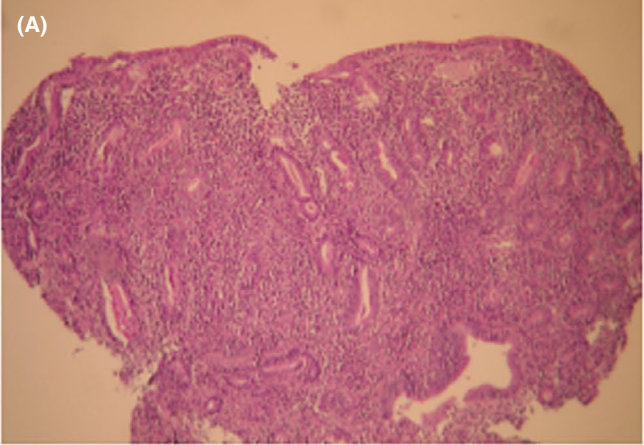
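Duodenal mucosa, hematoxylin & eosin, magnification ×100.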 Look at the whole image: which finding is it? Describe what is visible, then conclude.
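The mucosal surface is flat, with no finger-like villi projecting from it. A single layer of surface epithelium covers a broad, flat mucosa.
Conclusion: total villous atrophy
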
